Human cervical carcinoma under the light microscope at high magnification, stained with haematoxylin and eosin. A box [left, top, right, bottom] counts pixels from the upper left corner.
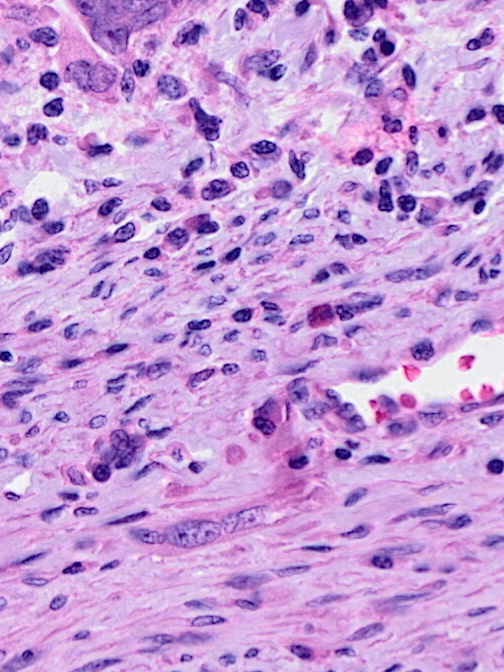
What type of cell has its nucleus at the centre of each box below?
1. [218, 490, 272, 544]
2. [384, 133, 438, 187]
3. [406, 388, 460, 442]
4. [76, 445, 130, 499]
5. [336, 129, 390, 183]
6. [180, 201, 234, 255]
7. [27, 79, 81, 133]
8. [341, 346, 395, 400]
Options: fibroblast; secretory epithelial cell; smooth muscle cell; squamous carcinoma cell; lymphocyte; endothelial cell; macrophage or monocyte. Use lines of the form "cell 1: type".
cell 1: endothelial cell
cell 2: lymphocyte
cell 3: endothelial cell
cell 4: lymphocyte
cell 5: lymphocyte
cell 6: lymphocyte
cell 7: lymphocyte
cell 8: endothelial cell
